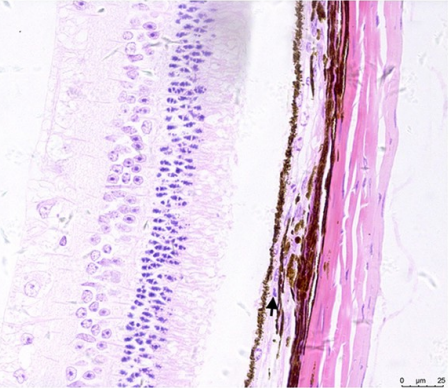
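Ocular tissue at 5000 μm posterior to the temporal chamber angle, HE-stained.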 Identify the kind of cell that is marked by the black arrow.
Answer: chronic inflammatory cells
